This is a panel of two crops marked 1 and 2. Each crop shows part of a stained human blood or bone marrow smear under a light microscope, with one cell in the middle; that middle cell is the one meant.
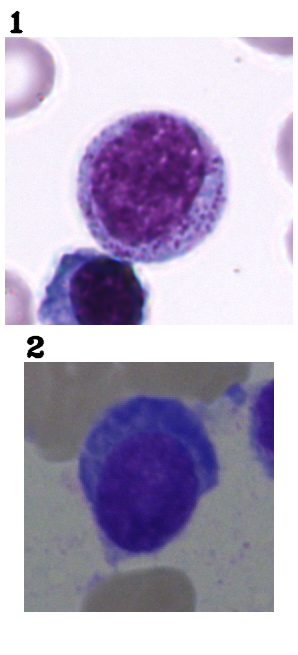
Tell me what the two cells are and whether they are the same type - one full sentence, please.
No, crop 1 offers a myelocyte, while crop 2 offers a plasma cell.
